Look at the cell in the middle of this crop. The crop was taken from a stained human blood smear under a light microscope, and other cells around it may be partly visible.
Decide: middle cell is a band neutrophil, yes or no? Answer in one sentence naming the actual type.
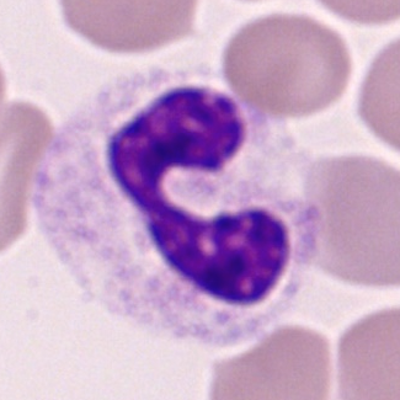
Yes, the cell at the centre of the field is a band neutrophil.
